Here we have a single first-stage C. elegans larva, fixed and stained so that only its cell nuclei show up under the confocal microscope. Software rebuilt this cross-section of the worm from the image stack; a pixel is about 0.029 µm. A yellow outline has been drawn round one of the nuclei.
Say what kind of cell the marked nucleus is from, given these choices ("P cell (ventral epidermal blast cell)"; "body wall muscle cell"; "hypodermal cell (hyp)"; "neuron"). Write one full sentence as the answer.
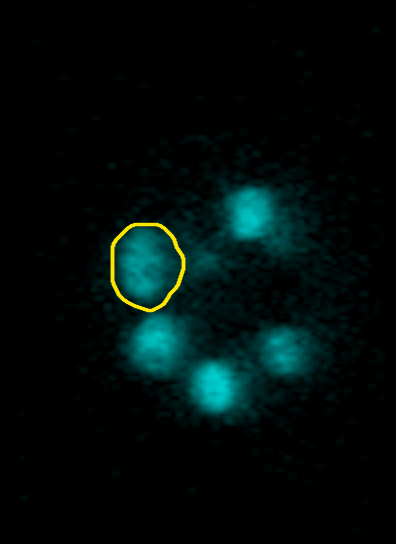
The marked nucleus belongs to a hypodermal cell (hyp).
